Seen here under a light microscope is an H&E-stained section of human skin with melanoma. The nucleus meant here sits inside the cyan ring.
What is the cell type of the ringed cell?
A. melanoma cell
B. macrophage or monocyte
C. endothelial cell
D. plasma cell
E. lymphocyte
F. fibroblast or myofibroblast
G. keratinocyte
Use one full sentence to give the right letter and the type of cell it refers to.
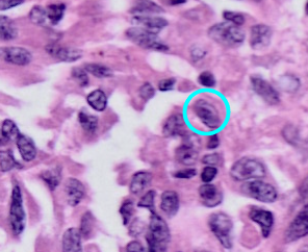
Option A is the correct one, since the ringed cell is a melanoma cell.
